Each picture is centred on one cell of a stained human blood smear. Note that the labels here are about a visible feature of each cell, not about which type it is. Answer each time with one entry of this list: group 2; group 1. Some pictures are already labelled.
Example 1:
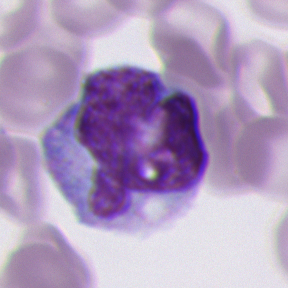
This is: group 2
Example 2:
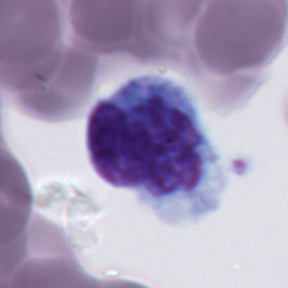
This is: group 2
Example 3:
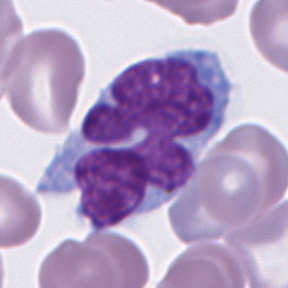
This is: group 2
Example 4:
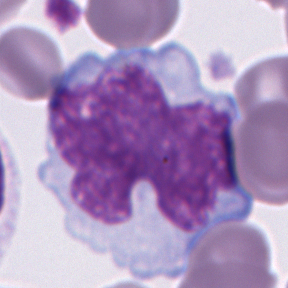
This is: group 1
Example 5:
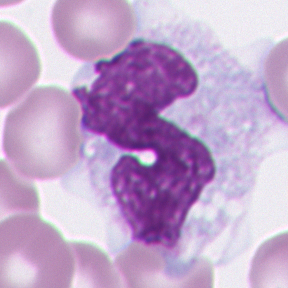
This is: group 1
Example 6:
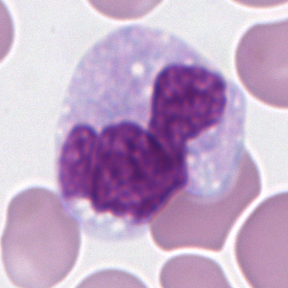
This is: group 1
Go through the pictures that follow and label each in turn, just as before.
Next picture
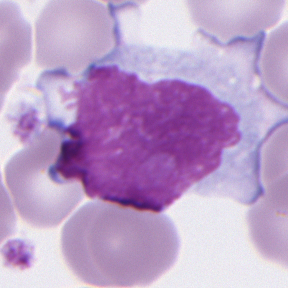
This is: group 1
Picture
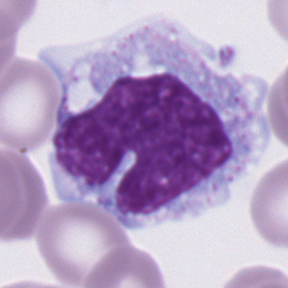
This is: group 1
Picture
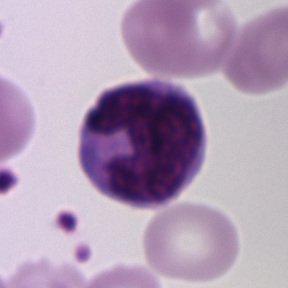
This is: group 2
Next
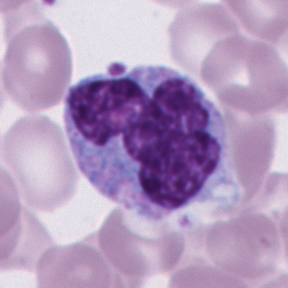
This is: group 1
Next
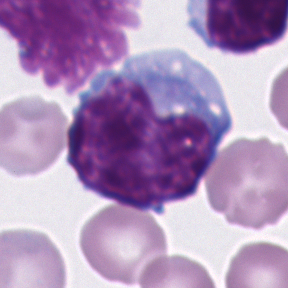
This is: group 2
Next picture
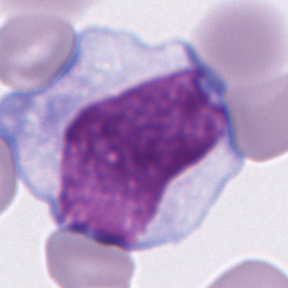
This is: group 1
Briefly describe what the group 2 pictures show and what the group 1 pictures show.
group 2: scant cytoplasm; group 1: abundant cytoplasm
